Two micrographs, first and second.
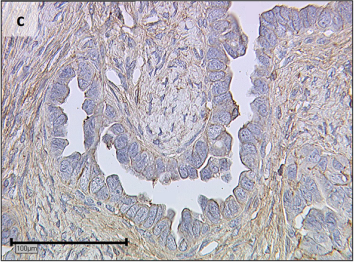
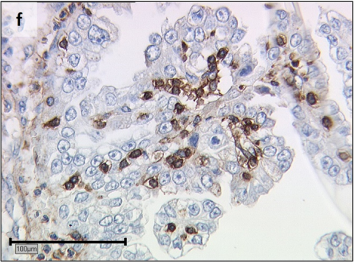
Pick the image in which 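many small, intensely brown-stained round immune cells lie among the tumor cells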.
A: The second image.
